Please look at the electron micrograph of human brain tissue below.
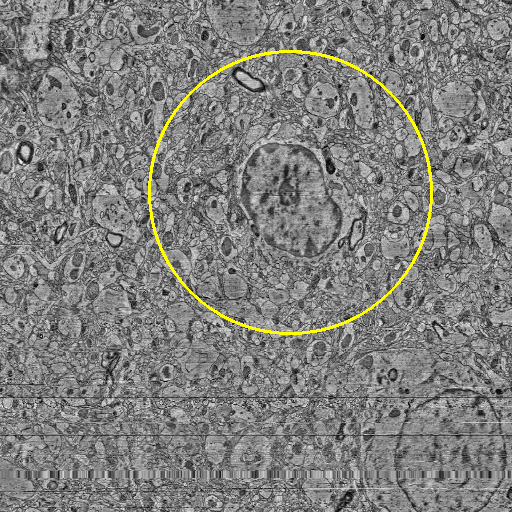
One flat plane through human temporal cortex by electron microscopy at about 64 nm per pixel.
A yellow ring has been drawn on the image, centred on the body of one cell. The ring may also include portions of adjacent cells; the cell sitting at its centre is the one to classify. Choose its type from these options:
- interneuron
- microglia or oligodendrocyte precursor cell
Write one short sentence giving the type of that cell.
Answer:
The cell in the middle of the ring is a microglial cell or oligodendrocyte precursor cell.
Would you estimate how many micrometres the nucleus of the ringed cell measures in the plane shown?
In this plane, the nucleus of the cell at the centre of the ring measures about 8 by 6 micrometres.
